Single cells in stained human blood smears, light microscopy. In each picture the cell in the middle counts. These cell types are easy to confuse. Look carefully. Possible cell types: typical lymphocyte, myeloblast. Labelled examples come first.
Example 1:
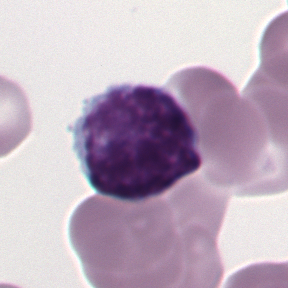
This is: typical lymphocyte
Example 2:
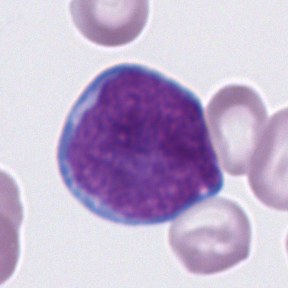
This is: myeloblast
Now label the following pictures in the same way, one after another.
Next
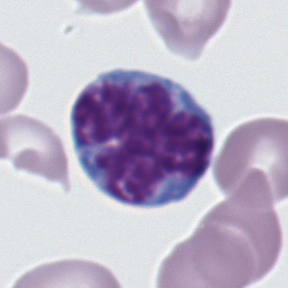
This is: myeloblast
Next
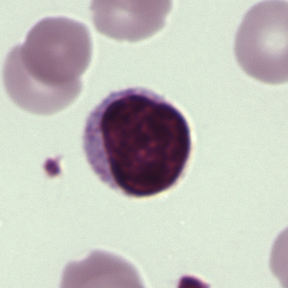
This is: typical lymphocyte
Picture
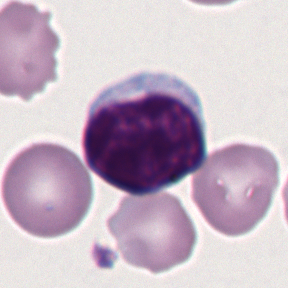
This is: typical lymphocyte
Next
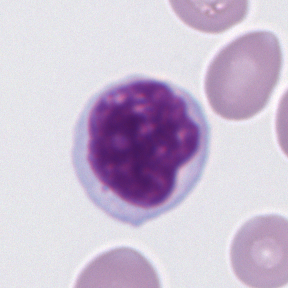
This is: typical lymphocyte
